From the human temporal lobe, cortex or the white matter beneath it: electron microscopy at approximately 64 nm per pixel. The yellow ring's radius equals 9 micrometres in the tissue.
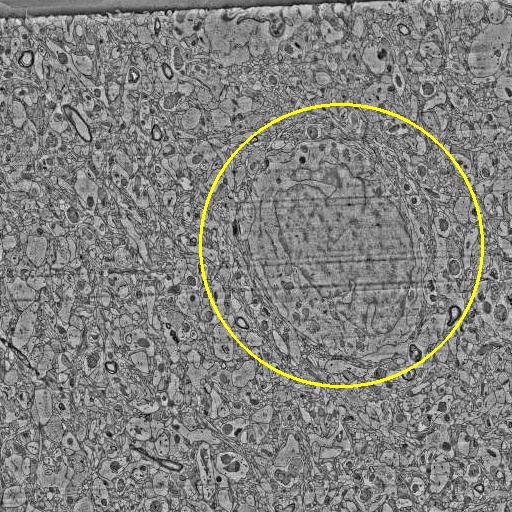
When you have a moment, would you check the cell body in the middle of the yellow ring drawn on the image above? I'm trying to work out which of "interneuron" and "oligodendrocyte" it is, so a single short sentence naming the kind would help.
This cell body belongs to an interneuron.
